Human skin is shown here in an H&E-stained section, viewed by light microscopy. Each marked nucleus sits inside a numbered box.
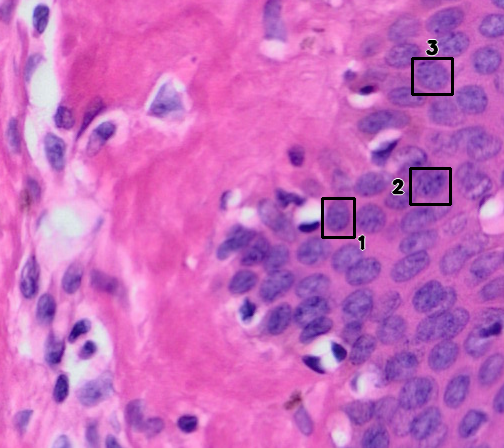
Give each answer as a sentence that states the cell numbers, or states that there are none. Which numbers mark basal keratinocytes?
Exactly one of the numbered cells is a basal keratinocyte, namely cell 1.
